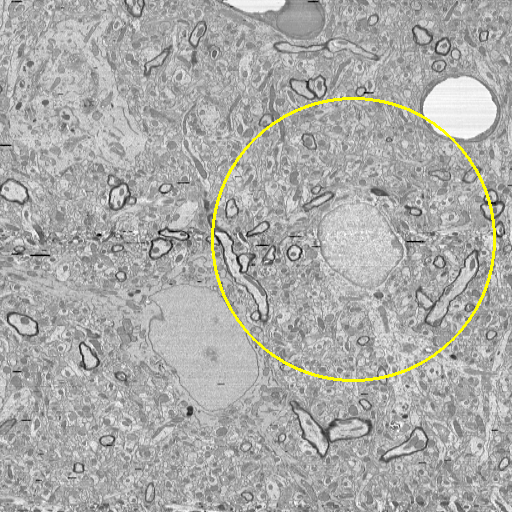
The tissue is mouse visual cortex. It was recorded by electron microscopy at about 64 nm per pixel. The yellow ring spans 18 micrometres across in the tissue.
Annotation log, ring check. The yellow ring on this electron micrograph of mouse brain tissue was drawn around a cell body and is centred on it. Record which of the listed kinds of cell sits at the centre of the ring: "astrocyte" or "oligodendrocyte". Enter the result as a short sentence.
The cell at the centre of the ring is an astrocyte.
